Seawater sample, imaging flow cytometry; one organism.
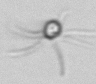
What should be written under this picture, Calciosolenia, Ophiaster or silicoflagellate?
Ophiaster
